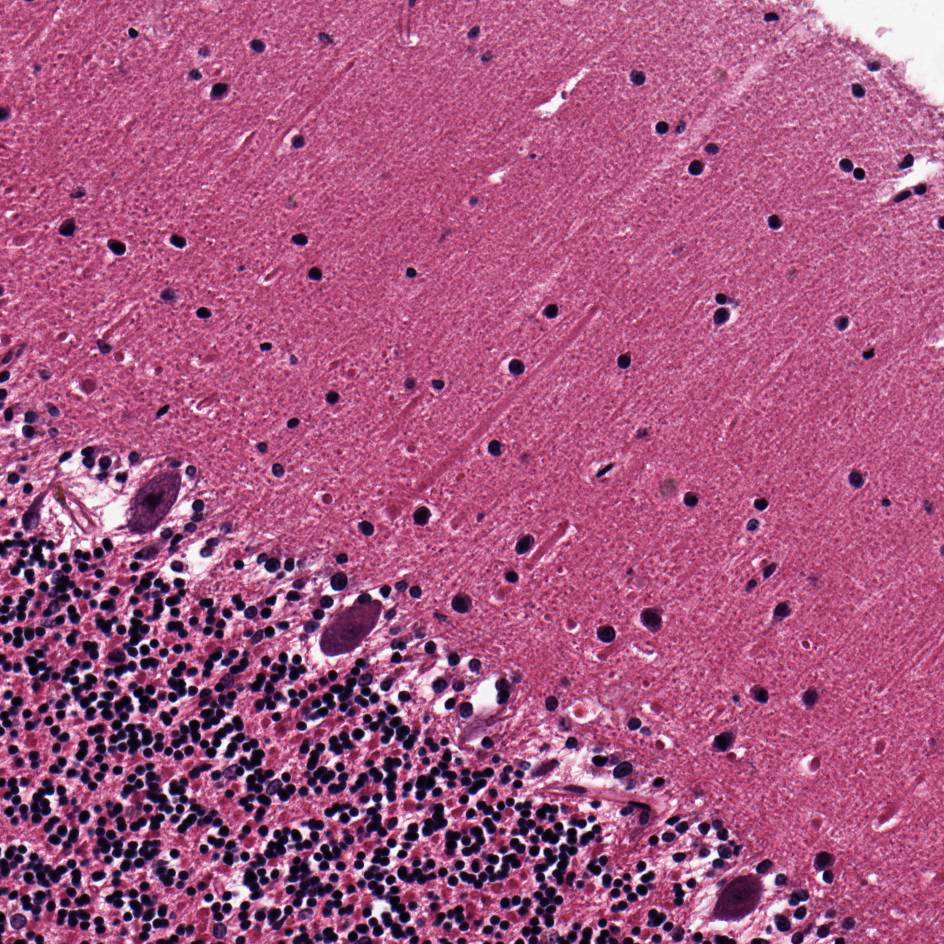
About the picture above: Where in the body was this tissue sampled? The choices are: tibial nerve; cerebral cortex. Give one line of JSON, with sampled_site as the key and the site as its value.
{"sampled_site": "cerebral cortex"}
